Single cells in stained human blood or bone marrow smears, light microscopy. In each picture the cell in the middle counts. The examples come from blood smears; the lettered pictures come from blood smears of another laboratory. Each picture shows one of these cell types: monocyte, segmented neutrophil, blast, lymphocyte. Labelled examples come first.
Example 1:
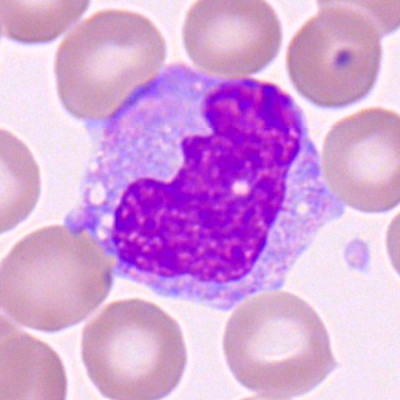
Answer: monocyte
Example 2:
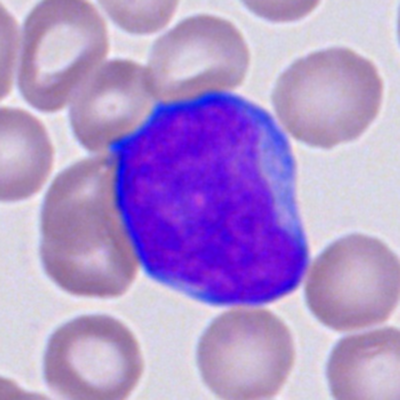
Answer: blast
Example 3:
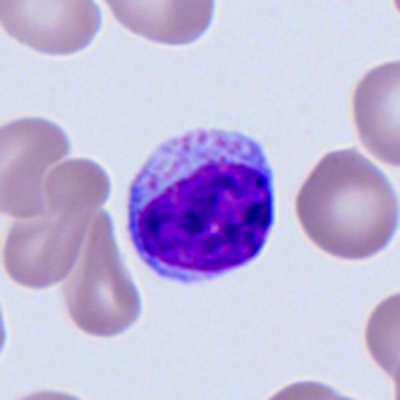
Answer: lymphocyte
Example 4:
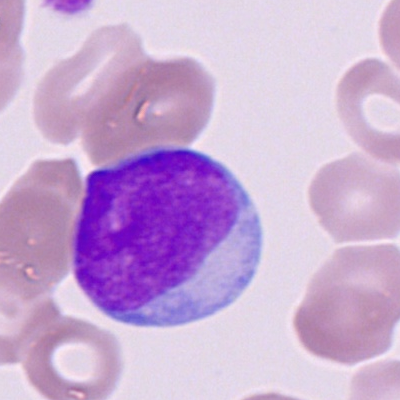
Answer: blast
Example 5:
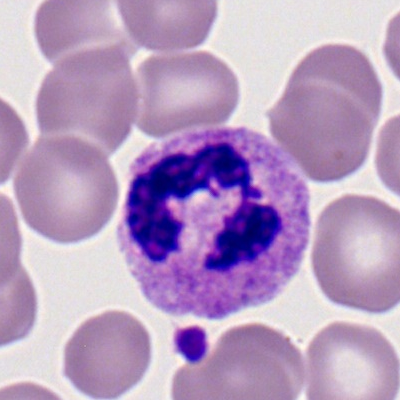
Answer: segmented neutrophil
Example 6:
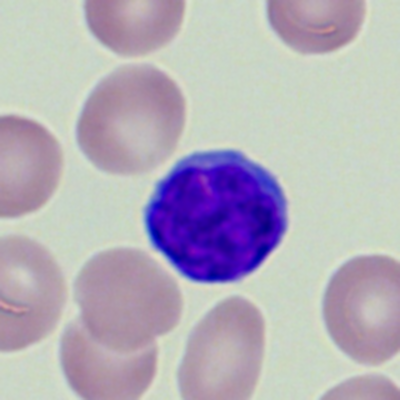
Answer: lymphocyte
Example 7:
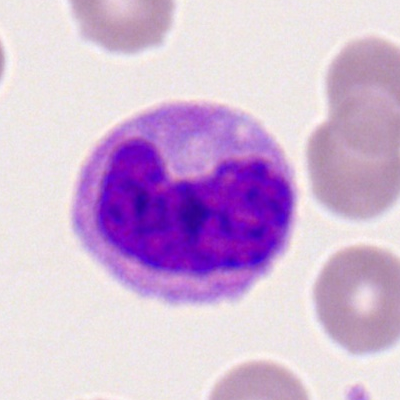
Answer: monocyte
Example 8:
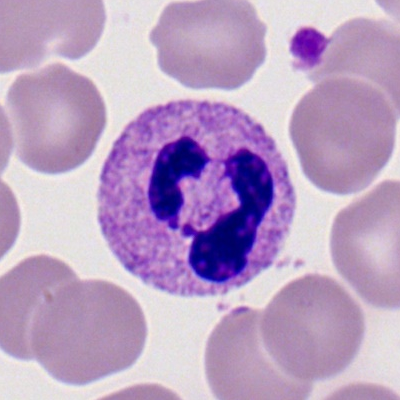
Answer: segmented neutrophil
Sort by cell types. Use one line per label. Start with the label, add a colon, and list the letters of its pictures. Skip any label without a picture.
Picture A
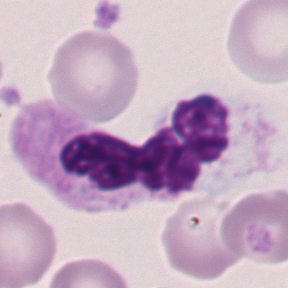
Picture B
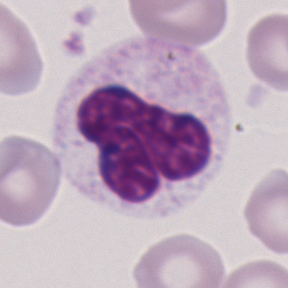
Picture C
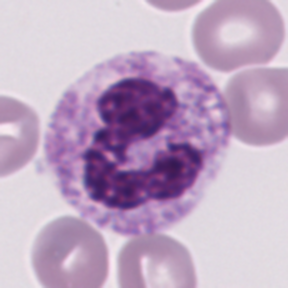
segmented neutrophil: A, B, C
